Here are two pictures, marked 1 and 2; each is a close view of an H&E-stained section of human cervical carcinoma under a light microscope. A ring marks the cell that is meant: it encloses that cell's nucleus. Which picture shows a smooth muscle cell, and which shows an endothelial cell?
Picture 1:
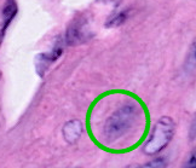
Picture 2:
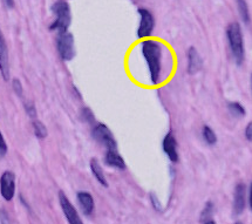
1: smooth muscle cell
2: endothelial cell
